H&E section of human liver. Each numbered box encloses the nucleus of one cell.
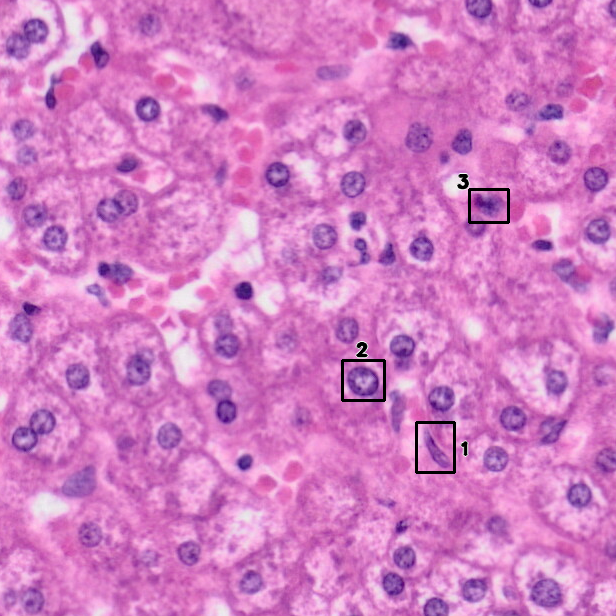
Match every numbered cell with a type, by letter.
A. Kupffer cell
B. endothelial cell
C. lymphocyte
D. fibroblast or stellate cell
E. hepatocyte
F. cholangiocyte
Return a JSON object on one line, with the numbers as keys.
{"1": "A", "2": "E", "3": "B"}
